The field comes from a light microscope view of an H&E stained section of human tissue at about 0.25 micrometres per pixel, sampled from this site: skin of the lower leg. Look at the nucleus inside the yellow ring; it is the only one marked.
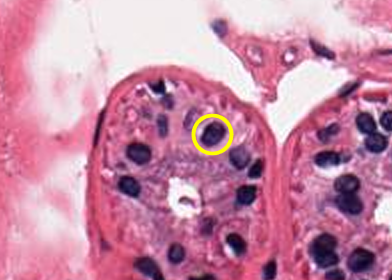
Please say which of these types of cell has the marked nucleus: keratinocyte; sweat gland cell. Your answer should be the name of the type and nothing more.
sweat gland cell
